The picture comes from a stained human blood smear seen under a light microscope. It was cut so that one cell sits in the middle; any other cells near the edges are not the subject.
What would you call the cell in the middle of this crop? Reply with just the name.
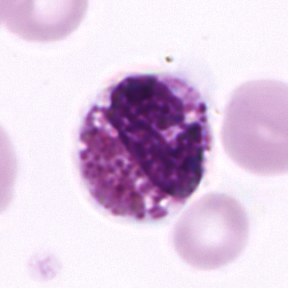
eosinophil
